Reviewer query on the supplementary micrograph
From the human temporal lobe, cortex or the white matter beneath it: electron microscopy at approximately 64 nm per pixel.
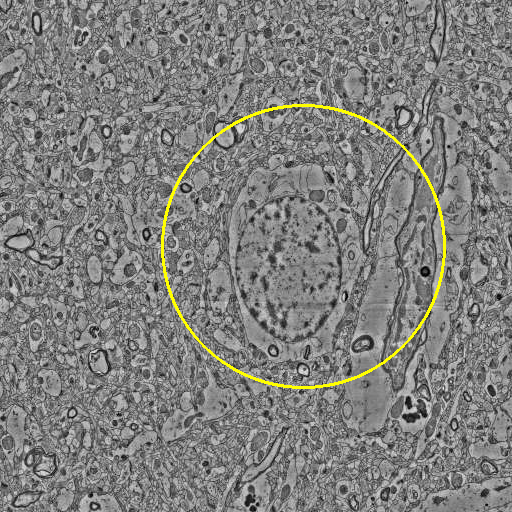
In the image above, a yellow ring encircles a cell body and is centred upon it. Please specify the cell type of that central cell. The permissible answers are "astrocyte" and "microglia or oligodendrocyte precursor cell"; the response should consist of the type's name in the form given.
astrocyte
